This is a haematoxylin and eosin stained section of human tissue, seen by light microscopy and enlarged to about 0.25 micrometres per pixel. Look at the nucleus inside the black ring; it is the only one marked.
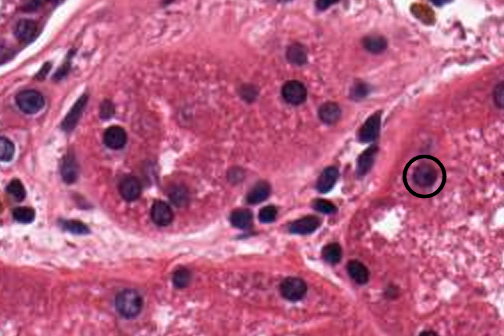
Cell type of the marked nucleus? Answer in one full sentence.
The marked nucleus belongs, in this picture, to a proximal tubule cell.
